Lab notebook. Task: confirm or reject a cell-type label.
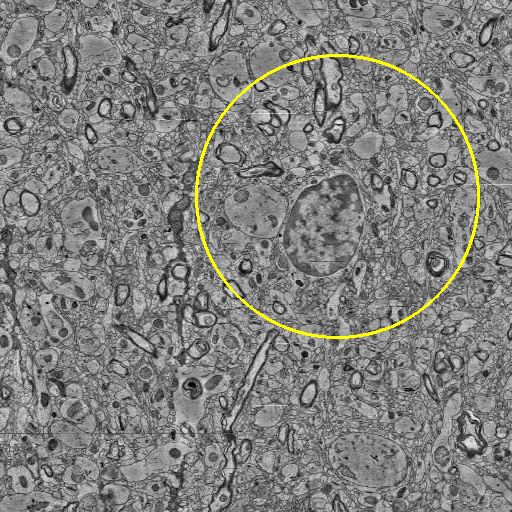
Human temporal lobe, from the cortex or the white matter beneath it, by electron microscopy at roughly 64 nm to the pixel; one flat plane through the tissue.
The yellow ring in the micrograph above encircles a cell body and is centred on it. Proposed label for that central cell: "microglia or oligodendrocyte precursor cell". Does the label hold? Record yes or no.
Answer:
yes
